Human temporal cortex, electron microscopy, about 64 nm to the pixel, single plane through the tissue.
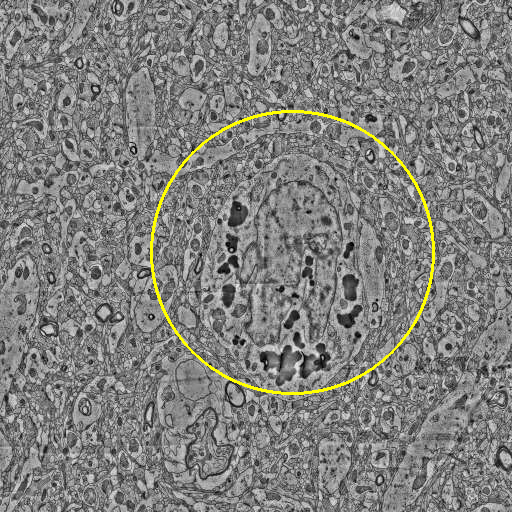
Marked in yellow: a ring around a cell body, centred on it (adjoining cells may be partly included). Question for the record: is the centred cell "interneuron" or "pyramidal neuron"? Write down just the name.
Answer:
interneuron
